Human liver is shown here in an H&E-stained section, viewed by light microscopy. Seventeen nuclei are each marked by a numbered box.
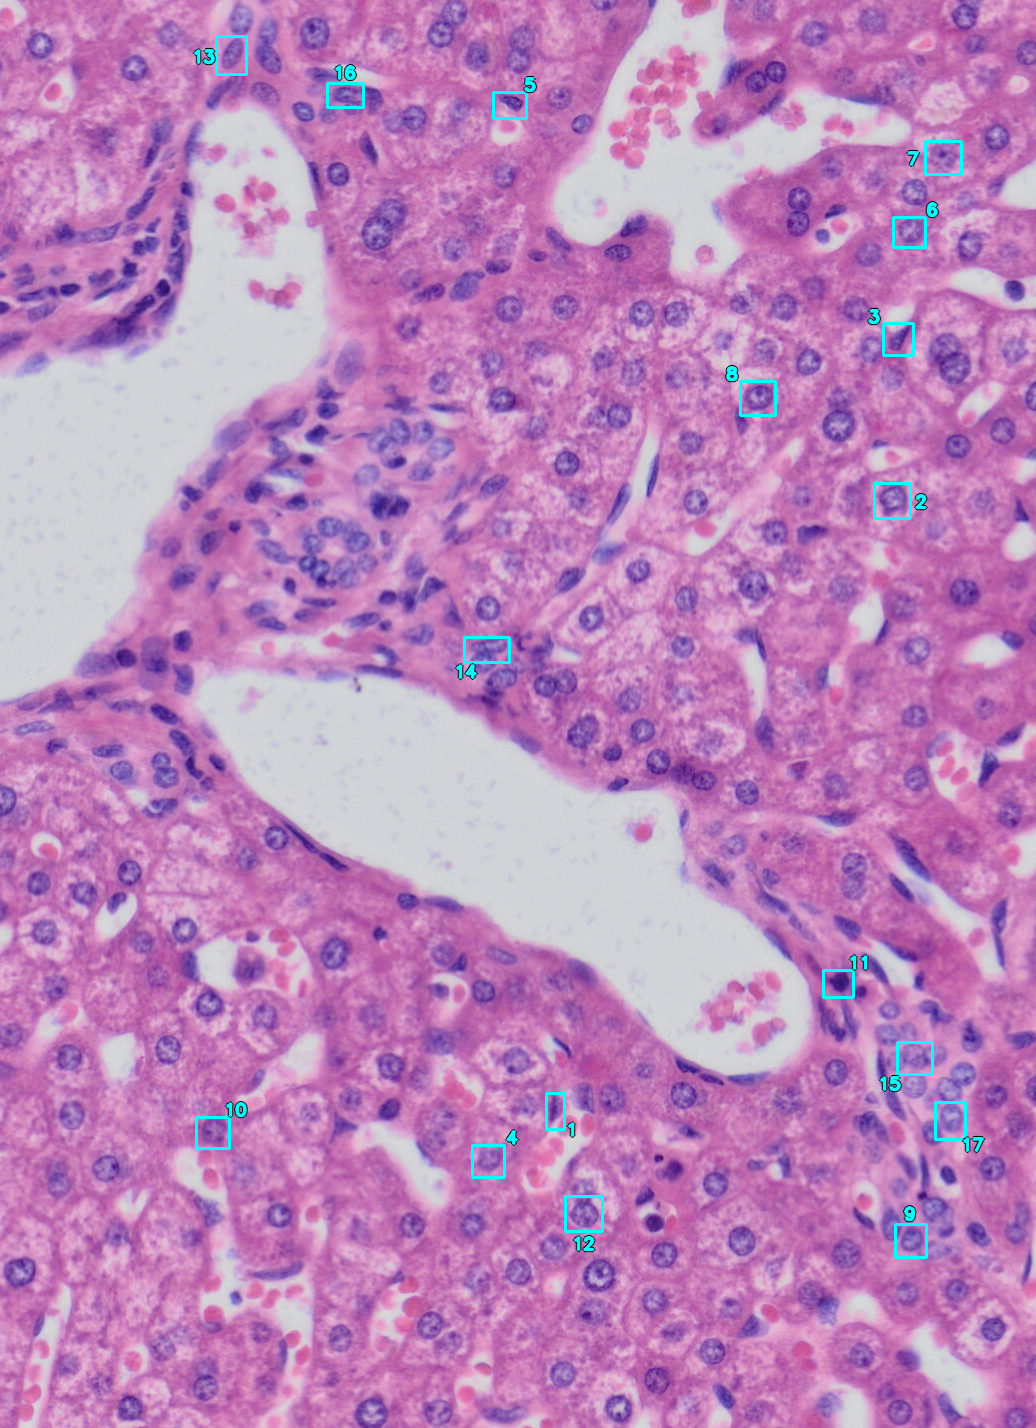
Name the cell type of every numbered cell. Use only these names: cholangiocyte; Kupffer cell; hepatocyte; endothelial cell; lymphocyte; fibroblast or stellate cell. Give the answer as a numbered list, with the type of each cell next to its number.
1. fibroblast or stellate cell
2. hepatocyte
3. fibroblast or stellate cell
4. hepatocyte
5. fibroblast or stellate cell
6. hepatocyte
7. hepatocyte
8. hepatocyte
9. cholangiocyte
10. hepatocyte
11. fibroblast or stellate cell
12. hepatocyte
13. cholangiocyte
14. cholangiocyte
15. cholangiocyte
16. cholangiocyte
17. cholangiocyte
